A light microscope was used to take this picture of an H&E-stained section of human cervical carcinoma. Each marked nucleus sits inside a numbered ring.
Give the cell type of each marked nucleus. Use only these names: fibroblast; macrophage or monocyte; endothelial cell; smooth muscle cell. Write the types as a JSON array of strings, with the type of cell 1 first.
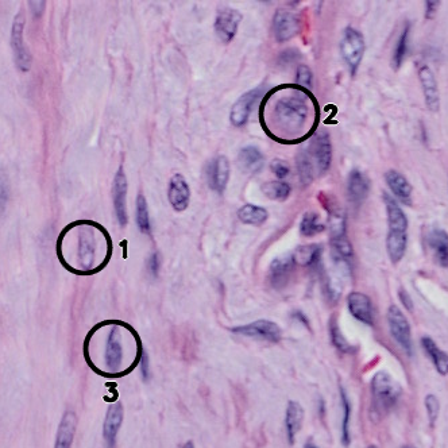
["smooth muscle cell", "endothelial cell", "fibroblast"]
